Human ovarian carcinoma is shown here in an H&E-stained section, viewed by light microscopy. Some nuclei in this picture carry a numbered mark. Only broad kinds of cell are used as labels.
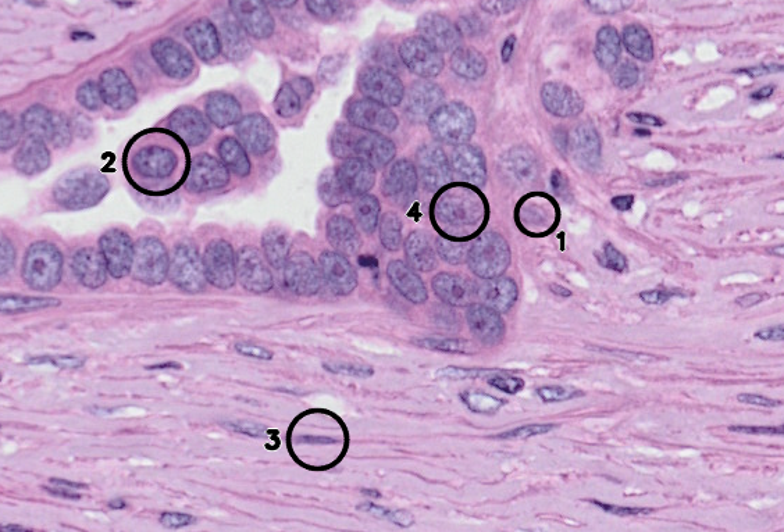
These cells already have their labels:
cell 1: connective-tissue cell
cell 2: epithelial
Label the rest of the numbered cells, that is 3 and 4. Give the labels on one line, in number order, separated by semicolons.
connective-tissue cell; epithelial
